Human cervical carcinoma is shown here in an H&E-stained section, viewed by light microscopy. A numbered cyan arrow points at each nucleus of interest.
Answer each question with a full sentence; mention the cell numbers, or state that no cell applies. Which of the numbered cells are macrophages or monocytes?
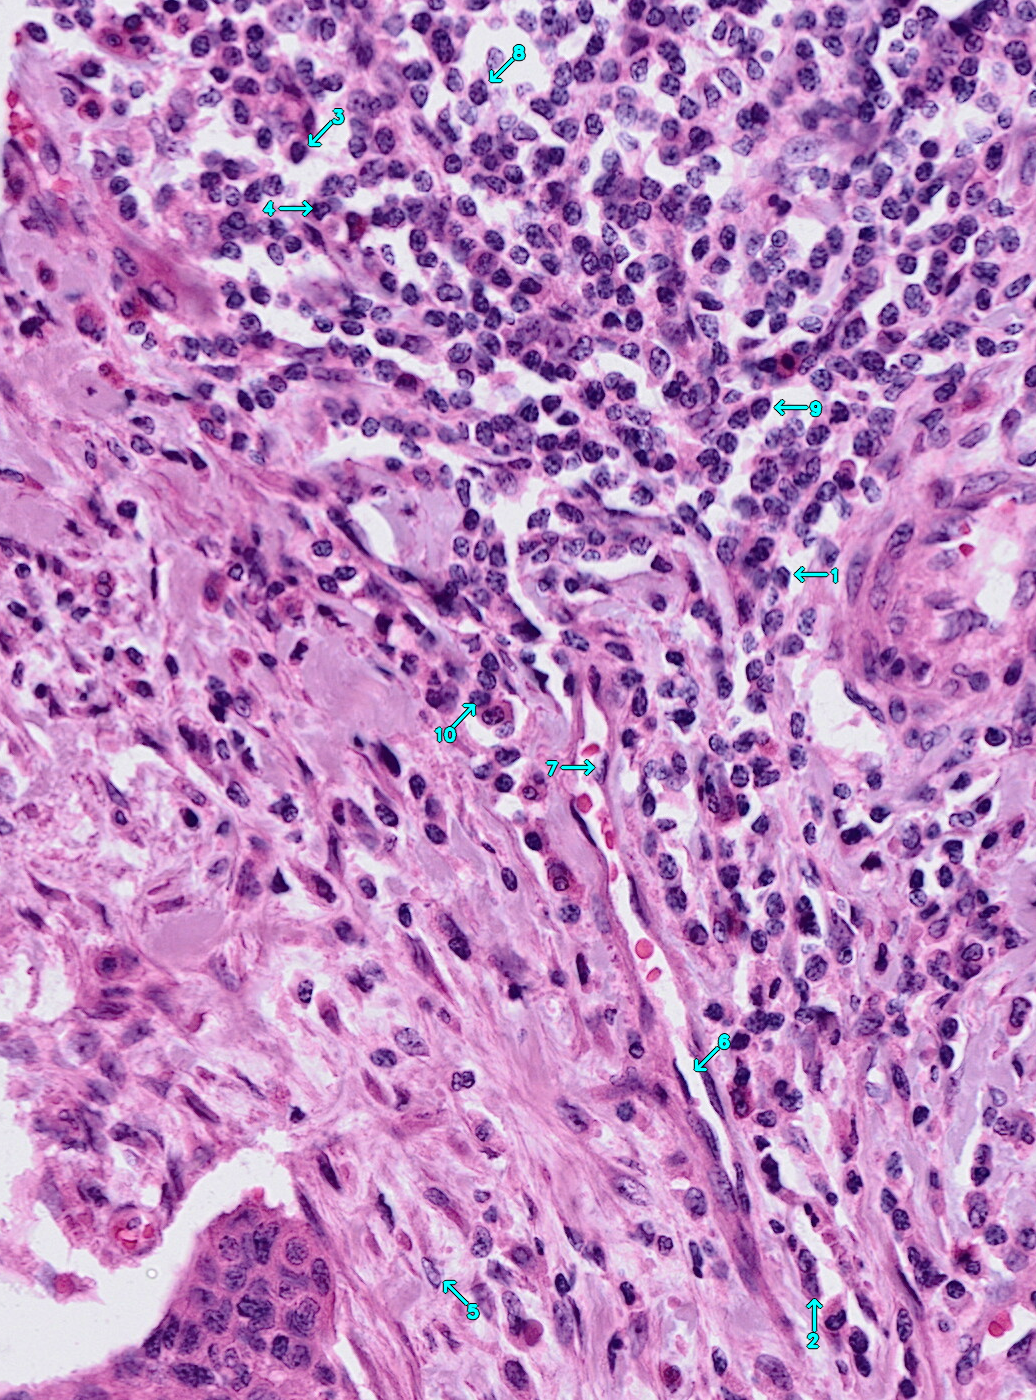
Of all the numbered cells, only one is a macrophage or monocyte, and that is cell 2.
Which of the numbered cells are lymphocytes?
The cells 1, 3, 4, 8, 9 and 10 in this section are lymphocytes.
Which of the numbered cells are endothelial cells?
The cells with the numbers 6 and 7 are endothelial cells.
